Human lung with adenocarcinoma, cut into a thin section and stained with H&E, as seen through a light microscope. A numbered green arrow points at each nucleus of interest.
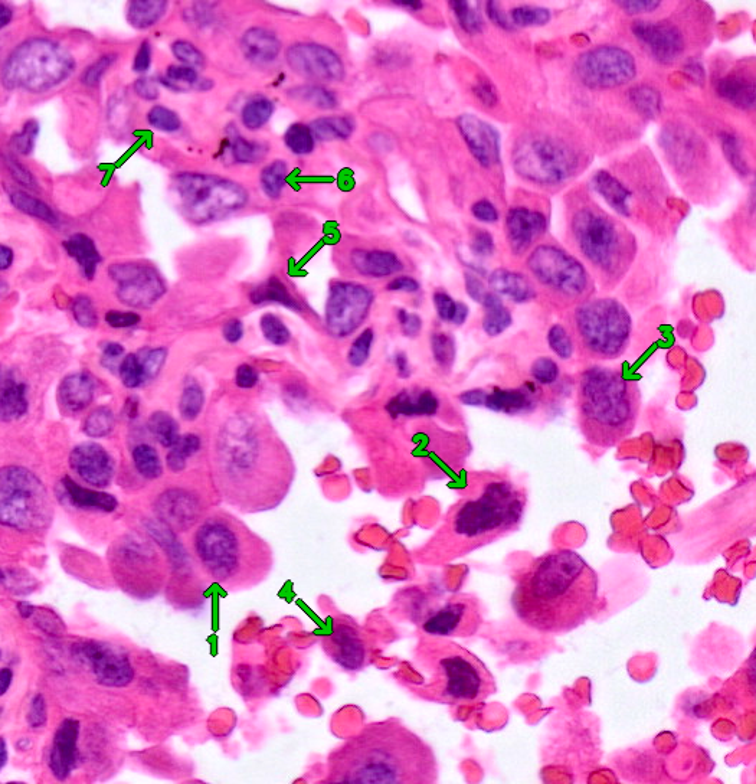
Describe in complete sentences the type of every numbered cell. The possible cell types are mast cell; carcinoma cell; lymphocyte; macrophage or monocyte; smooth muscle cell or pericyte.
Cells 1, 2, 3 and 5 are carcinoma cells. Cell 4 is a macrophage or monocyte. Cells 6 and 7 are lymphocytes.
